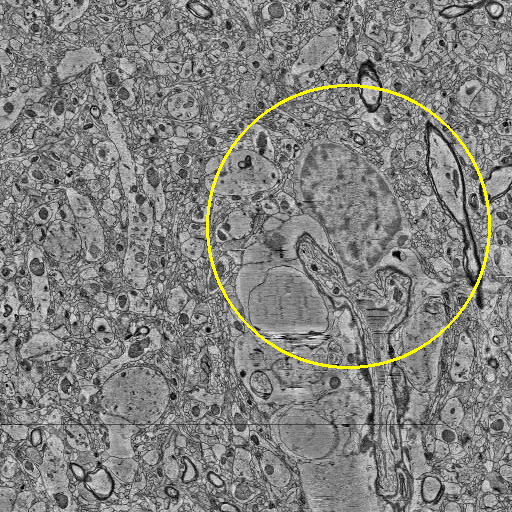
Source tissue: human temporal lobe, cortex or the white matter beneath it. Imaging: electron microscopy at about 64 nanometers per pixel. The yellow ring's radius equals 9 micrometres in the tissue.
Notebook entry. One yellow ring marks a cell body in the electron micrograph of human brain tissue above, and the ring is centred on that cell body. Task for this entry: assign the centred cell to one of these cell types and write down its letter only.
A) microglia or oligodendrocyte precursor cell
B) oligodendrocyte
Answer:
B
